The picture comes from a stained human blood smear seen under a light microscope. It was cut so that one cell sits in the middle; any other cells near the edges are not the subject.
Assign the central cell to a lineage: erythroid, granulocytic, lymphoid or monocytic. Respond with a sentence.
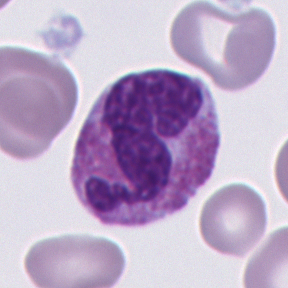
The cell in the middle is allocated to the granulocytic lineage.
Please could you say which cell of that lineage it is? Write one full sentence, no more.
At the middle of the frame sits an eosinophil.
